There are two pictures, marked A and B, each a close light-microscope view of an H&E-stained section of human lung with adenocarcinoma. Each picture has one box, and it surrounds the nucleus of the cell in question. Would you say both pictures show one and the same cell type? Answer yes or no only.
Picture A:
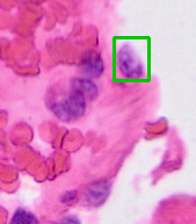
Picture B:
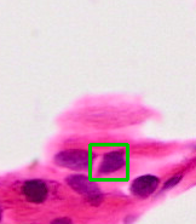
yes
